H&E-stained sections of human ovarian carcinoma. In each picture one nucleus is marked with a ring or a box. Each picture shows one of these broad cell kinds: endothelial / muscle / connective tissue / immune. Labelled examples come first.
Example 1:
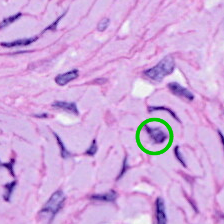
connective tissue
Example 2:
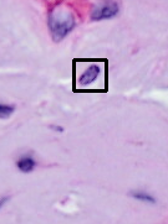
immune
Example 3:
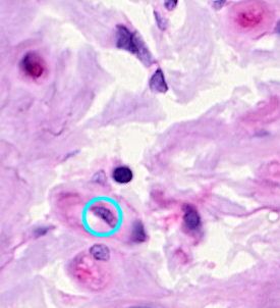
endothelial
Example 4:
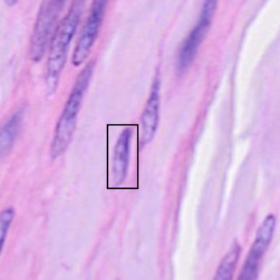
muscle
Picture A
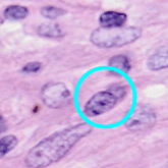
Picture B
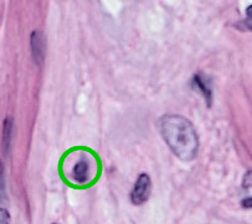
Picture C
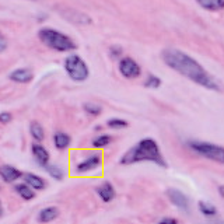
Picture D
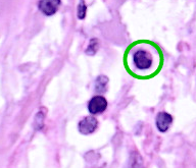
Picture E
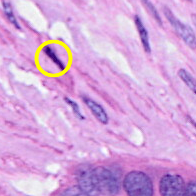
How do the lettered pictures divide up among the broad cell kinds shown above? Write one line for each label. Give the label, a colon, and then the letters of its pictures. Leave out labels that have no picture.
muscle: C
connective tissue: E
immune: A, B, D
